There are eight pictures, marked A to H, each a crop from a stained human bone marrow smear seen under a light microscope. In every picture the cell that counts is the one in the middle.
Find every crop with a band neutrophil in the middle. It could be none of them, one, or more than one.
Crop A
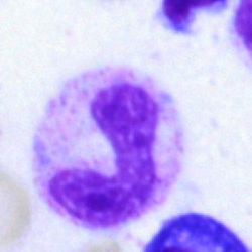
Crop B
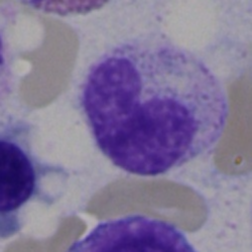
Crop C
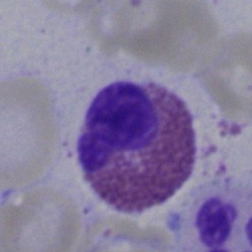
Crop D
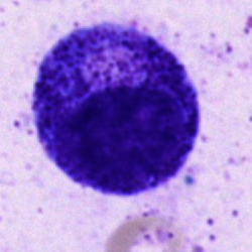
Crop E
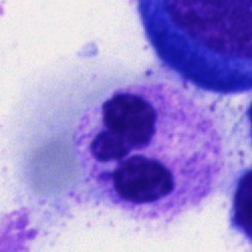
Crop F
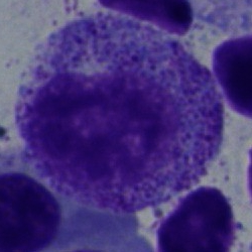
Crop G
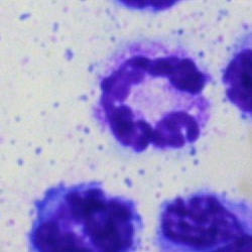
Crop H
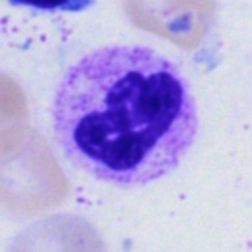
A, B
